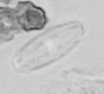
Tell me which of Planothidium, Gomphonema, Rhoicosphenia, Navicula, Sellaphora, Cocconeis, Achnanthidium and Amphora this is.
The picture shows Sellaphora.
